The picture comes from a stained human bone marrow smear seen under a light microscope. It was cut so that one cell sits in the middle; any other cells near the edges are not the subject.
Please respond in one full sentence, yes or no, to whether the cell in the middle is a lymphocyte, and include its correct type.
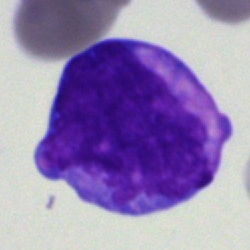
No, the centre of the crop is taken up by a blast, not a lymphocyte.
